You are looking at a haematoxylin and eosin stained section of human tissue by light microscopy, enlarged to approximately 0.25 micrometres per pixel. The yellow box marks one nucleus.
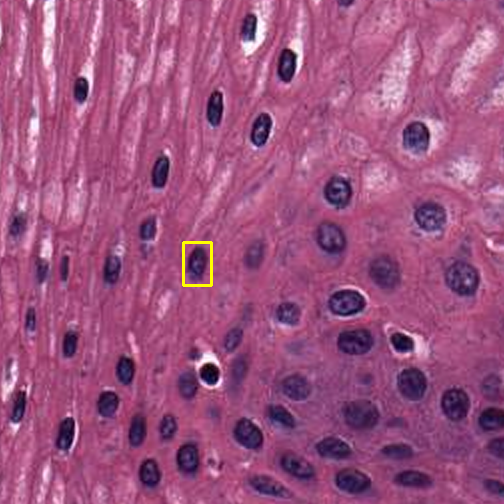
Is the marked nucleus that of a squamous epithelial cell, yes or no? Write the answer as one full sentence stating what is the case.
Yes, the marked nucleus is that of a squamous epithelial cell.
